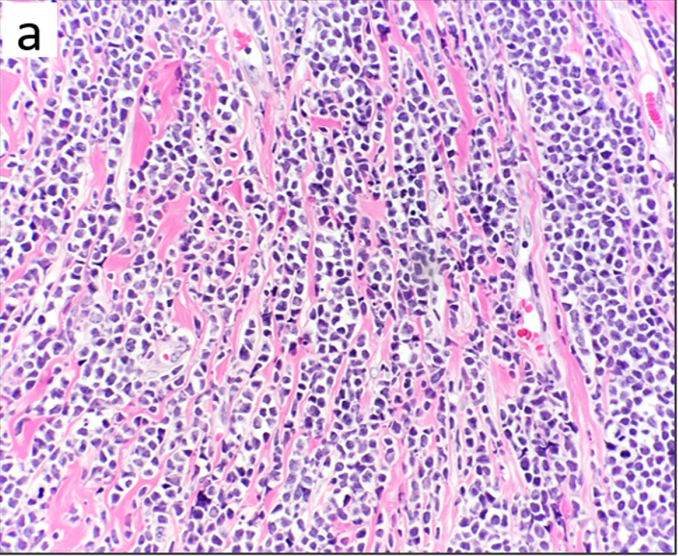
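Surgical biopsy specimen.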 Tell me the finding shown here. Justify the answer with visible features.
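Cells line up in single-file rows between pink collagen bands. The rows run roughly parallel across the field. The cells do not stick together in cohesive clusters. So: linear pattern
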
